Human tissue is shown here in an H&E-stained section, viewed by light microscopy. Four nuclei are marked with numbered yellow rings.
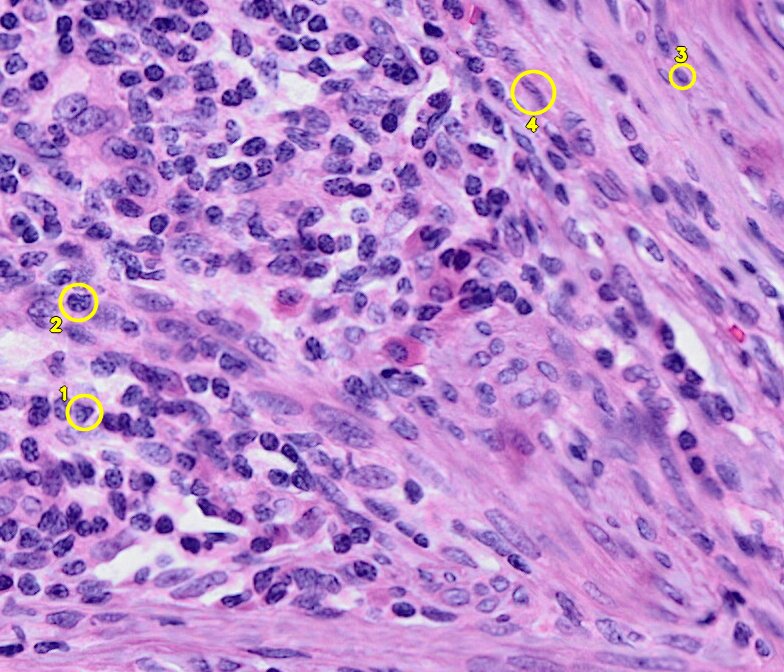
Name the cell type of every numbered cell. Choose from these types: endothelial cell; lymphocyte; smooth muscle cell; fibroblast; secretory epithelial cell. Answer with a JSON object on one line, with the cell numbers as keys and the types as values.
{"1": "lymphocyte", "2": "lymphocyte", "3": "smooth muscle cell", "4": "endothelial cell"}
